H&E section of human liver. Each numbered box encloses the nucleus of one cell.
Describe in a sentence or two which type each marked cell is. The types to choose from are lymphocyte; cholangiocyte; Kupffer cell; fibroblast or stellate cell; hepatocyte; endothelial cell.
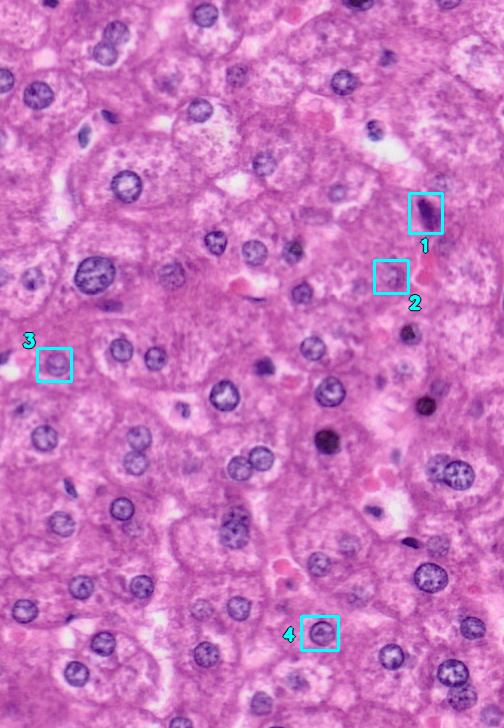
Cell 1 is a fibroblast or stellate cell. Cells 2, 3 and 4 are hepatocytes.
